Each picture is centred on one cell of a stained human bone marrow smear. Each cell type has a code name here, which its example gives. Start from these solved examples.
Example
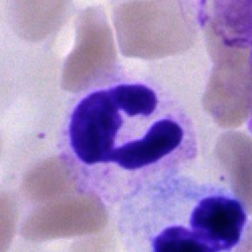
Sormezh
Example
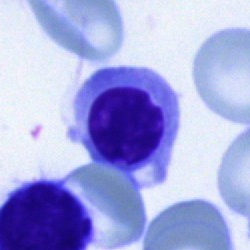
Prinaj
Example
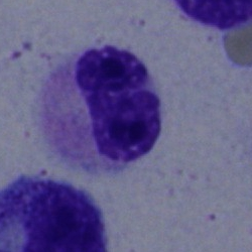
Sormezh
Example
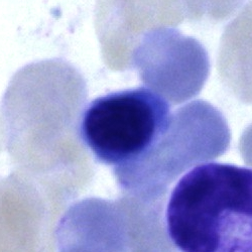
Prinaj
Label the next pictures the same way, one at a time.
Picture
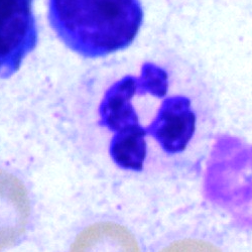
Sormezh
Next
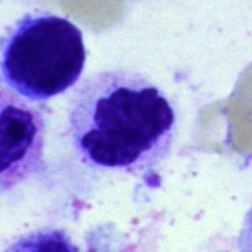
Sormezh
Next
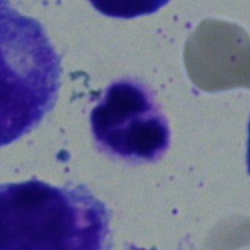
Sormezh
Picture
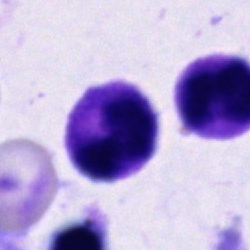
Sormezh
